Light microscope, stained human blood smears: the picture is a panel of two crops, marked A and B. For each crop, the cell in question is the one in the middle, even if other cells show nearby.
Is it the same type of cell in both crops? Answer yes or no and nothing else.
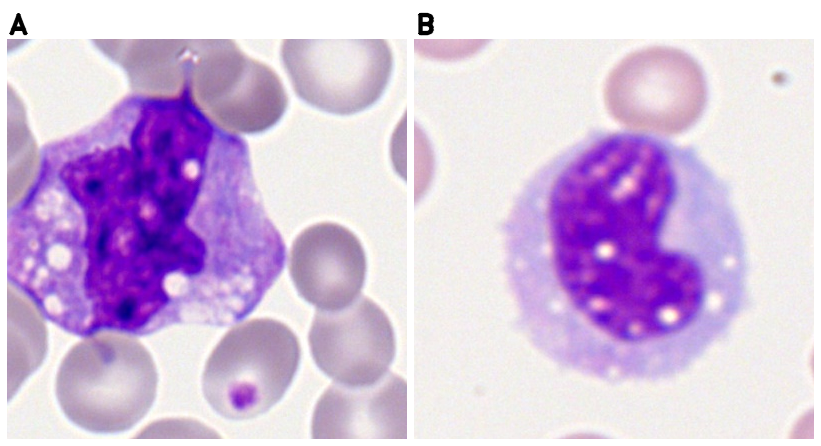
yes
